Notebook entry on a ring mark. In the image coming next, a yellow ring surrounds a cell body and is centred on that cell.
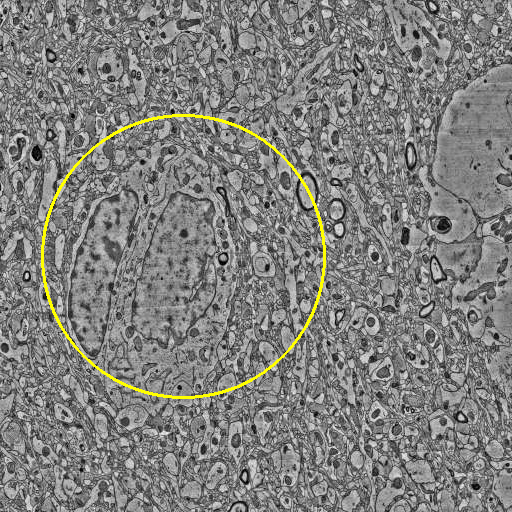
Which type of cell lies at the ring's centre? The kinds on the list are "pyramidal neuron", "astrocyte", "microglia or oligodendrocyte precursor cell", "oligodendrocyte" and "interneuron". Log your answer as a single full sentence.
Centred in the yellow ring is an interneuron, the cell recorded for this image.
